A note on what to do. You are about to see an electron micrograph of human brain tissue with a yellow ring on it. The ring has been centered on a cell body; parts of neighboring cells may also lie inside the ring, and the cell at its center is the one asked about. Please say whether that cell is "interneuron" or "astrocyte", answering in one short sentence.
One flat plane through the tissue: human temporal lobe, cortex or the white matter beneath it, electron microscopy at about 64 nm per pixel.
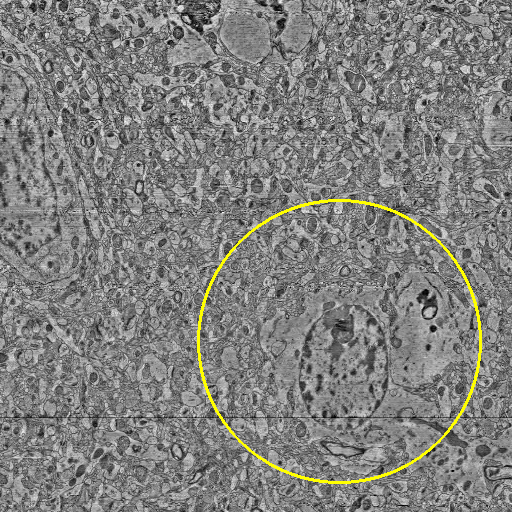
The yellow ring sits on an astrocyte.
